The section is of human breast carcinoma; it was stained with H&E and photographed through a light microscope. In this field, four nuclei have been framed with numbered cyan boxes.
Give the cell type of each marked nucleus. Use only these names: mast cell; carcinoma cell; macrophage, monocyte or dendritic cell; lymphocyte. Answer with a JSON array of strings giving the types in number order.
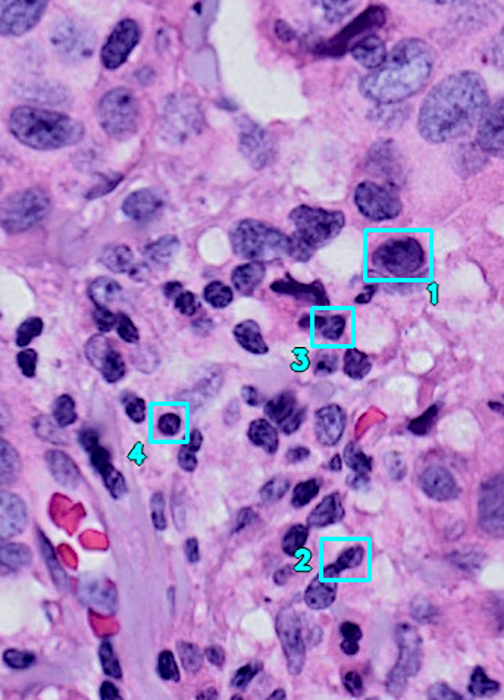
["carcinoma cell", "lymphocyte", "lymphocyte", "lymphocyte"]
